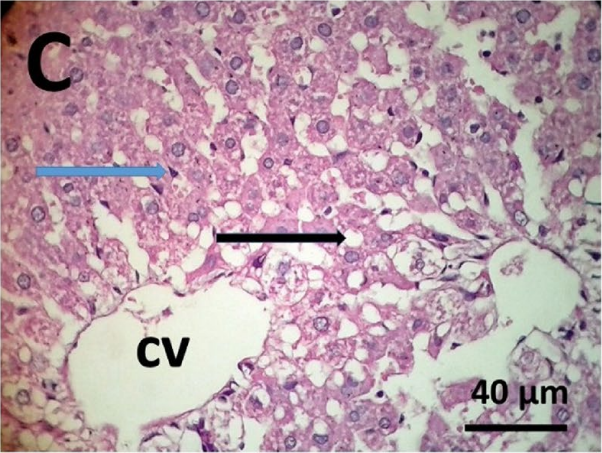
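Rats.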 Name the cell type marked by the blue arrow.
Kupffer cells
